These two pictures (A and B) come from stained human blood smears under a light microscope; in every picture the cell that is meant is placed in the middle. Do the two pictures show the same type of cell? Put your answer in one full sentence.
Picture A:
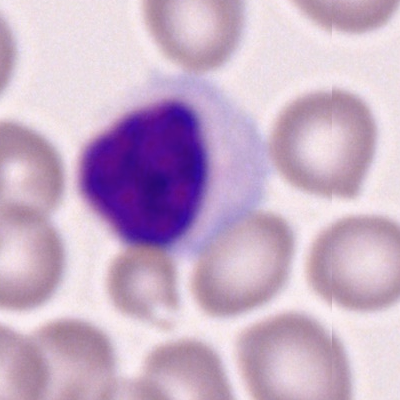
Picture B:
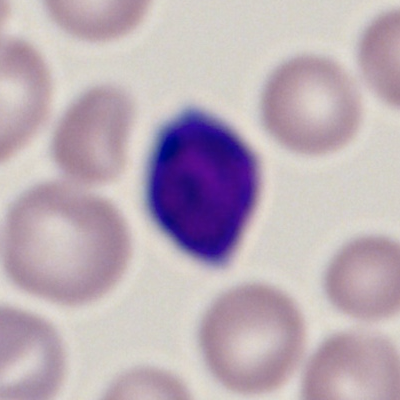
Yes; the cells in both pictures are lymphocytes.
